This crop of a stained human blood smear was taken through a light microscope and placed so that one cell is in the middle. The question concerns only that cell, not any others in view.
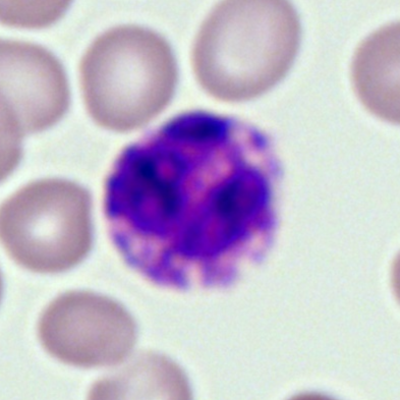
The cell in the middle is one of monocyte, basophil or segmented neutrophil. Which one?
basophil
